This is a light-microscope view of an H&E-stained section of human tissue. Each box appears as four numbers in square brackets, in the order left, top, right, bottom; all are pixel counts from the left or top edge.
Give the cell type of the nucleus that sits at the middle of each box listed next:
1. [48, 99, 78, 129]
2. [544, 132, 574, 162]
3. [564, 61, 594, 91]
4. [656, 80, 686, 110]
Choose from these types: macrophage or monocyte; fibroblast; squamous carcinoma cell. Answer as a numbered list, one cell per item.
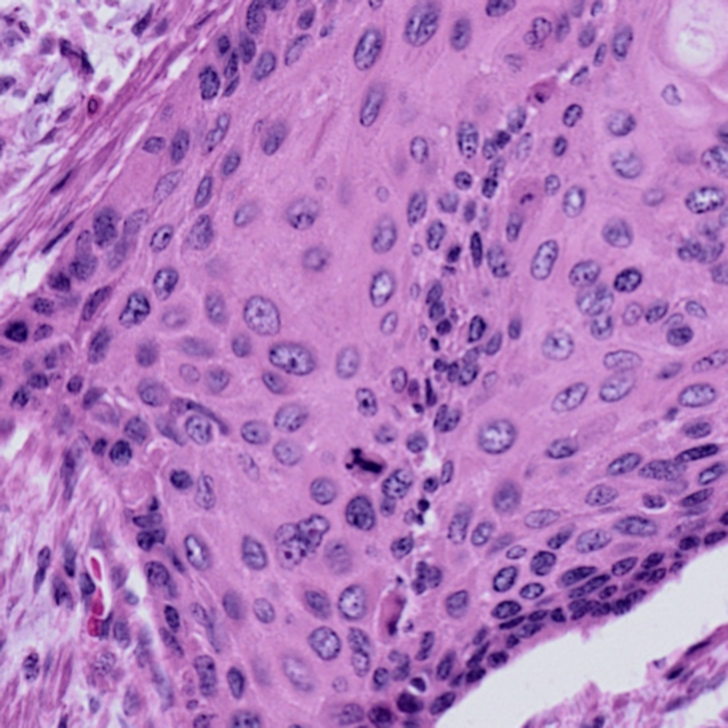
1. fibroblast
2. squamous carcinoma cell
3. squamous carcinoma cell
4. squamous carcinoma cell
